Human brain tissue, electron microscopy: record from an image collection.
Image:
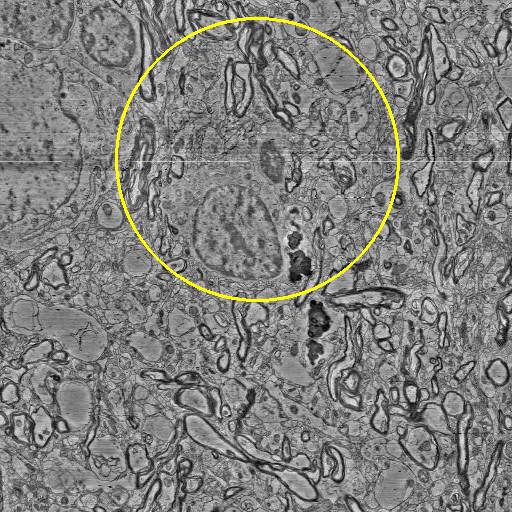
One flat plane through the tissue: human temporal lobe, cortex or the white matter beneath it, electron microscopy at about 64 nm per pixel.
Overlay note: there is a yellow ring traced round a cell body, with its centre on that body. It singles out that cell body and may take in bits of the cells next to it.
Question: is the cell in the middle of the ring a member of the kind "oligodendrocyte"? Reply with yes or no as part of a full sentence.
Yes, the image's ringed cell, the one at the ring's centre, is a member of that kind.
